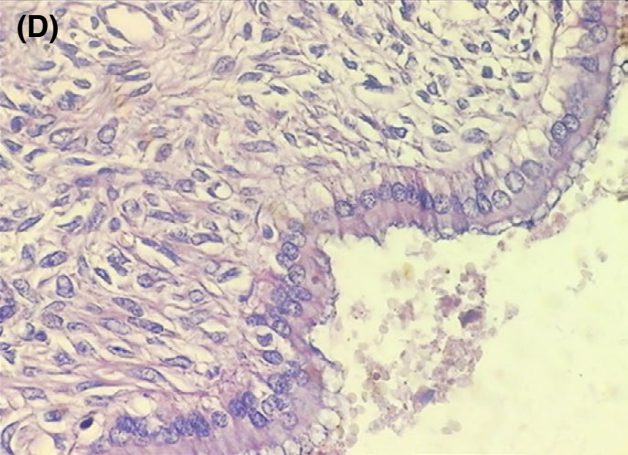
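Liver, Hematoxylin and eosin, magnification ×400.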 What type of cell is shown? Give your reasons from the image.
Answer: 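Columnar biliary type epithelium. A single row of tall cells lines an open space. The nuclei are oval and sit at the base of the cells. Pale cytoplasm lies above the nuclei toward the lumen.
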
